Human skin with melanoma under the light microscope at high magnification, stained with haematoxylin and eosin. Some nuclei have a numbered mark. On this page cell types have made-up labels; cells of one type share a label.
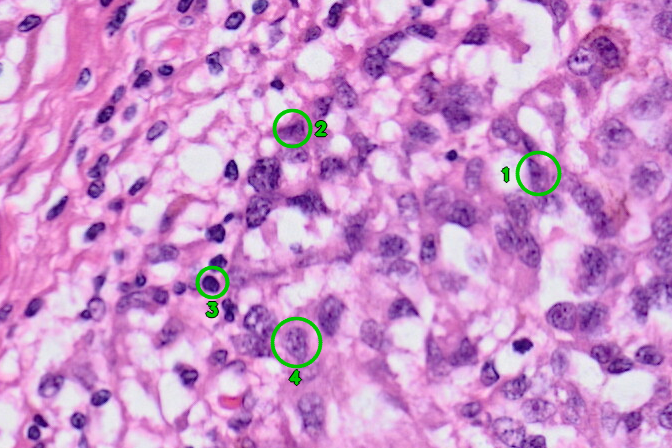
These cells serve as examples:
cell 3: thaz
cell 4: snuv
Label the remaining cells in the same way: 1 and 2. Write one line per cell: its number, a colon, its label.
1: snuv
2: snuv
